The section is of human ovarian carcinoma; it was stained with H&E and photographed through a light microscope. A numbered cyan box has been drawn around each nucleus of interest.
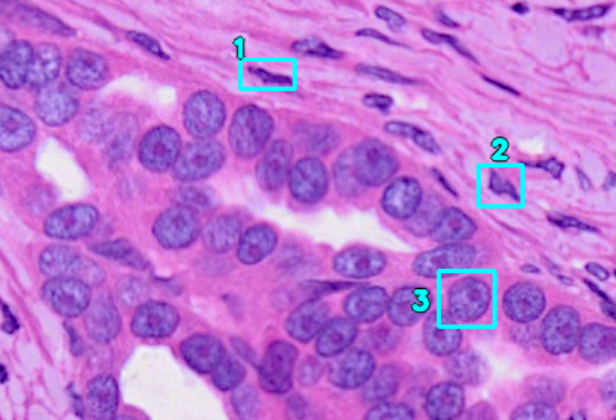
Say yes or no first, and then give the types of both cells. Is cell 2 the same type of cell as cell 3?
No, cell 2 is a fibroblast and cell 3 is a carcinoma cell.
